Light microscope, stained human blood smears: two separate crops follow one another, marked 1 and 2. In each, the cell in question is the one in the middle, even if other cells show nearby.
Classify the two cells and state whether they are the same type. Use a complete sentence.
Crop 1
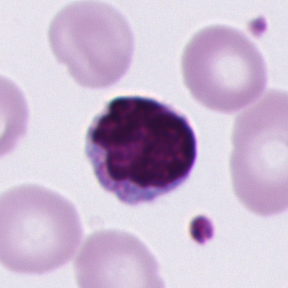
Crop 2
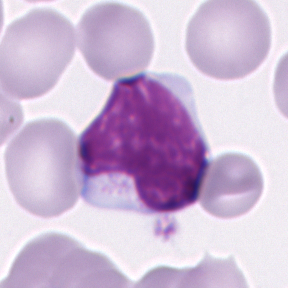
Yes, both crops have large granular lymphocytes at the centre.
